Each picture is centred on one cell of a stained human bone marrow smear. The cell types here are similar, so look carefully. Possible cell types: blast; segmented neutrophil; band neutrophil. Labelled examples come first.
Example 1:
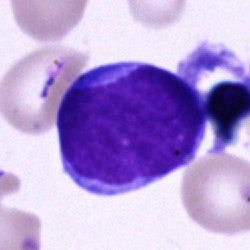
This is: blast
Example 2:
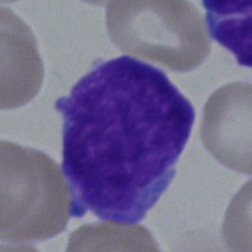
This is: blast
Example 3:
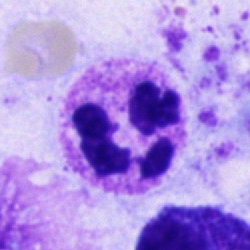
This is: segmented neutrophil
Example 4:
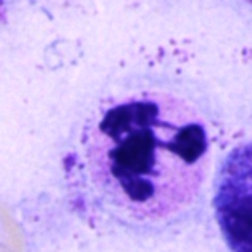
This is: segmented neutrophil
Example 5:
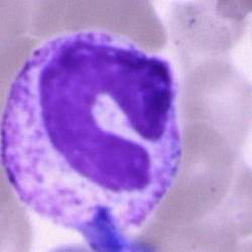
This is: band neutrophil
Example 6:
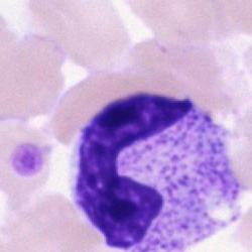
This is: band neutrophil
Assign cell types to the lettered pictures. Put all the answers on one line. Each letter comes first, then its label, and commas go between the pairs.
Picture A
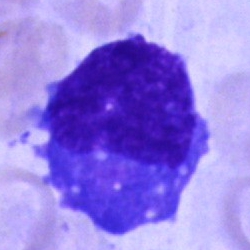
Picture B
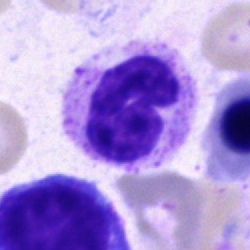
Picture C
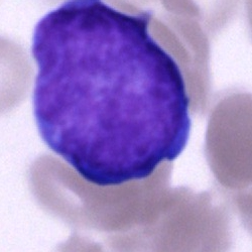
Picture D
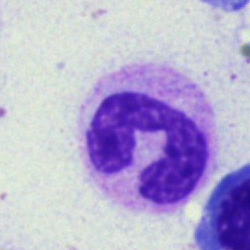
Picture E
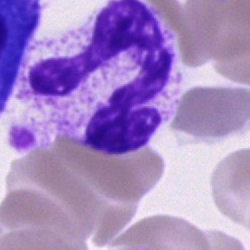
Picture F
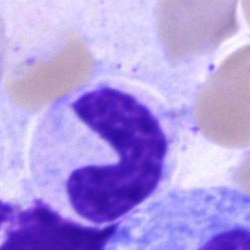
A blast, B segmented neutrophil, C blast, D band neutrophil, E segmented neutrophil, F band neutrophil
